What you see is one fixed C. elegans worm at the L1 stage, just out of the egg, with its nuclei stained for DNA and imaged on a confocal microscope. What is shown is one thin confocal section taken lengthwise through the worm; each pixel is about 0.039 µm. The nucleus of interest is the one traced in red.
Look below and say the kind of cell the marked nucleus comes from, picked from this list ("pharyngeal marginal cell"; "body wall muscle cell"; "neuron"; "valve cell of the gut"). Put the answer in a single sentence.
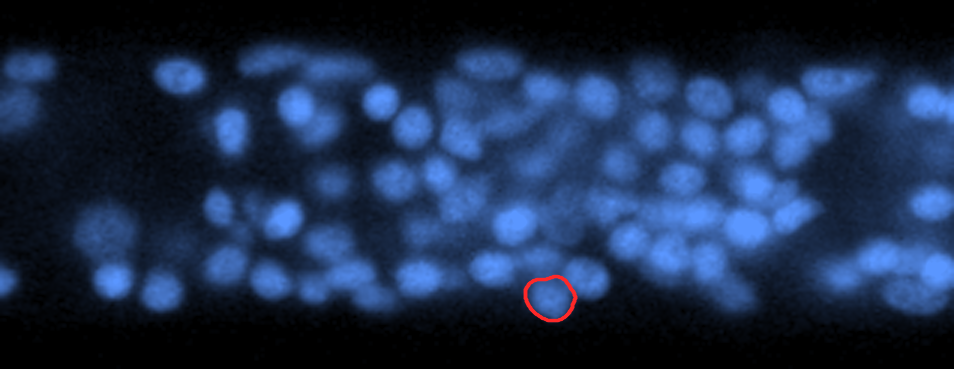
This is the nucleus of a neuron.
